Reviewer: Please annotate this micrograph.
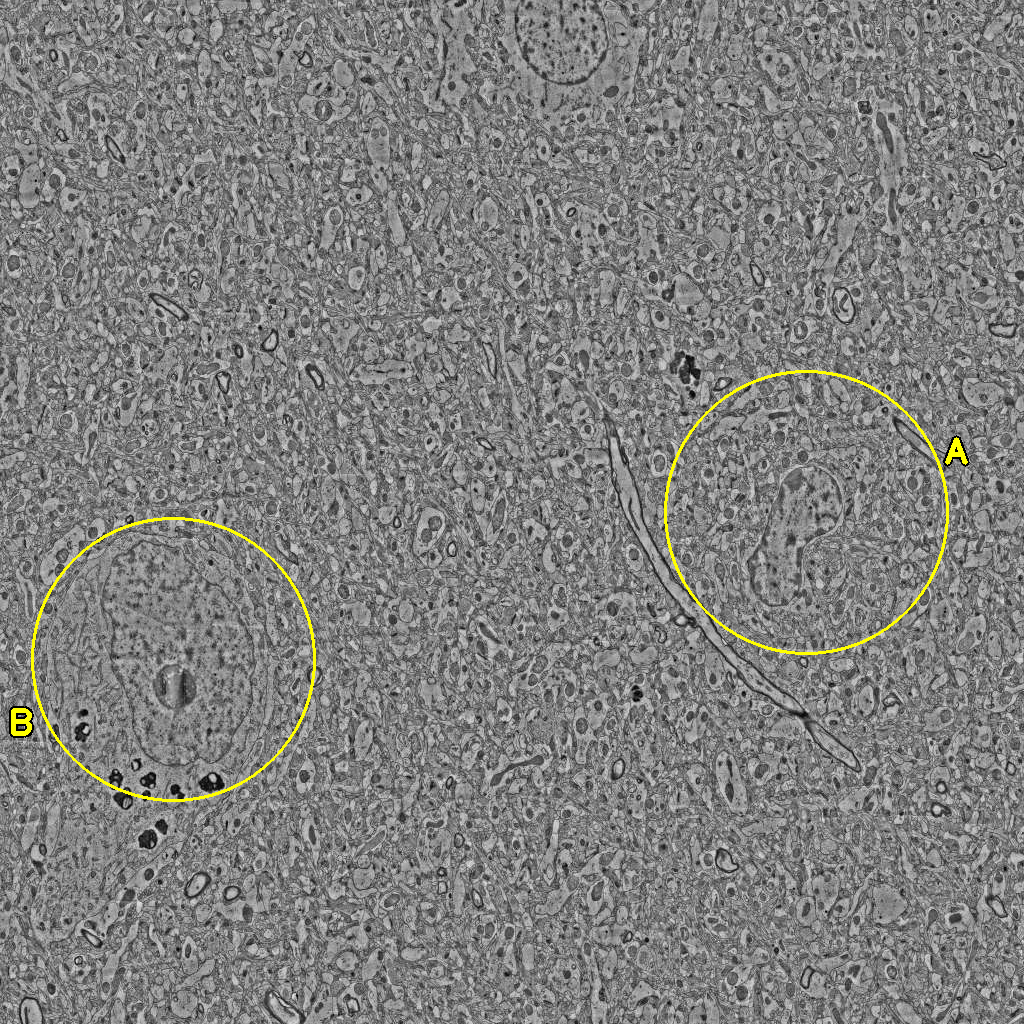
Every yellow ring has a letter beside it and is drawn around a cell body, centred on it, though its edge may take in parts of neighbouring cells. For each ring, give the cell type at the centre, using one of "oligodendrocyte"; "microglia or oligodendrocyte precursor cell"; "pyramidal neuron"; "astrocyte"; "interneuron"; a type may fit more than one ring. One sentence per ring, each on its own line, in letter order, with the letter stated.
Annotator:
The cell in the middle of ring A is a microglial cell or oligodendrocyte precursor cell.
The cell in the middle of ring B is an interneuron.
